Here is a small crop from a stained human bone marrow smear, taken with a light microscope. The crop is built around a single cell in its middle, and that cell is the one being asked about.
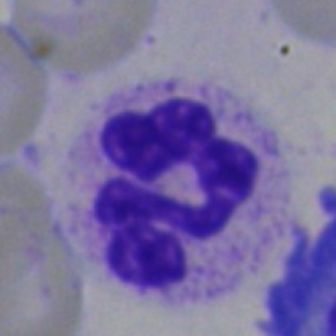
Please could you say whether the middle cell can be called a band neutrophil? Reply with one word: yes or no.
no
